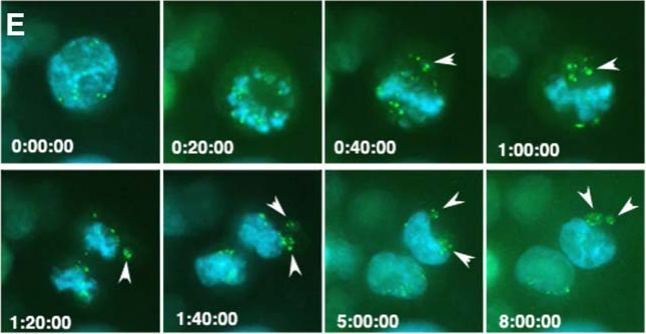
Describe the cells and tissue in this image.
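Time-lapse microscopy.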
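A sequence of fluorescence frames follows one cell through division, with chromatin in blue and small bright green dots scattered over and around it. The rounded nucleus first condenses into a ring of chromosomes, which then form a band and separate into two chromatin masses that become two daughter nuclei. Clusters of green dots, marked by white arrowheads, lie beside the chromatin masses, apart from the chromosomes, and stay at the edge of a daughter nucleus in the later frames.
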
